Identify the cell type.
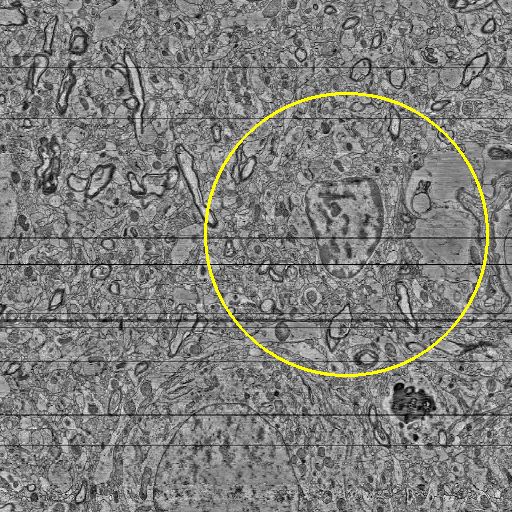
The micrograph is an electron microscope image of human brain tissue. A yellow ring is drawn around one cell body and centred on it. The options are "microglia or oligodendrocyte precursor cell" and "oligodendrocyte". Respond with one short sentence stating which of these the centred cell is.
The cell body in the ring belongs to a microglial cell or oligodendrocyte precursor cell.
